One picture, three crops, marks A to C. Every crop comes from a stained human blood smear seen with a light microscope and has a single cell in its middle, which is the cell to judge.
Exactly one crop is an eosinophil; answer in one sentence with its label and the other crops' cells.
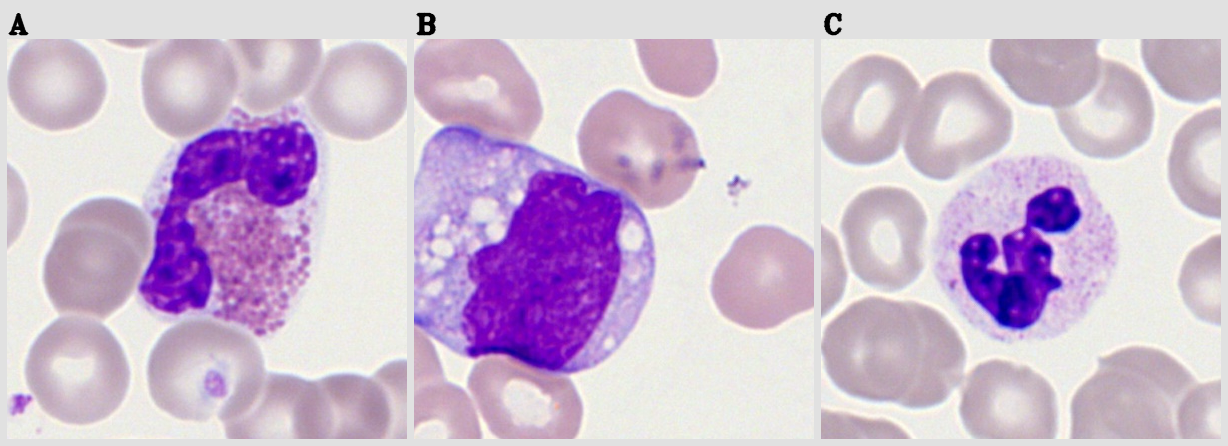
In short, crop A is an eosinophil, and crop B is a monocyte and crop C is a segmented neutrophil.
